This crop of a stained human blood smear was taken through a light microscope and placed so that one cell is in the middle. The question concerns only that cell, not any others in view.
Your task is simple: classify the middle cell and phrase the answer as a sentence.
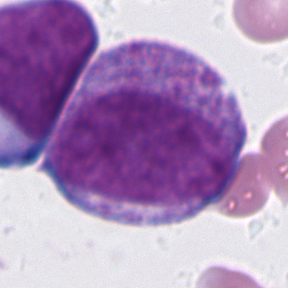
Regarding the central cell, it is a promyelocyte.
